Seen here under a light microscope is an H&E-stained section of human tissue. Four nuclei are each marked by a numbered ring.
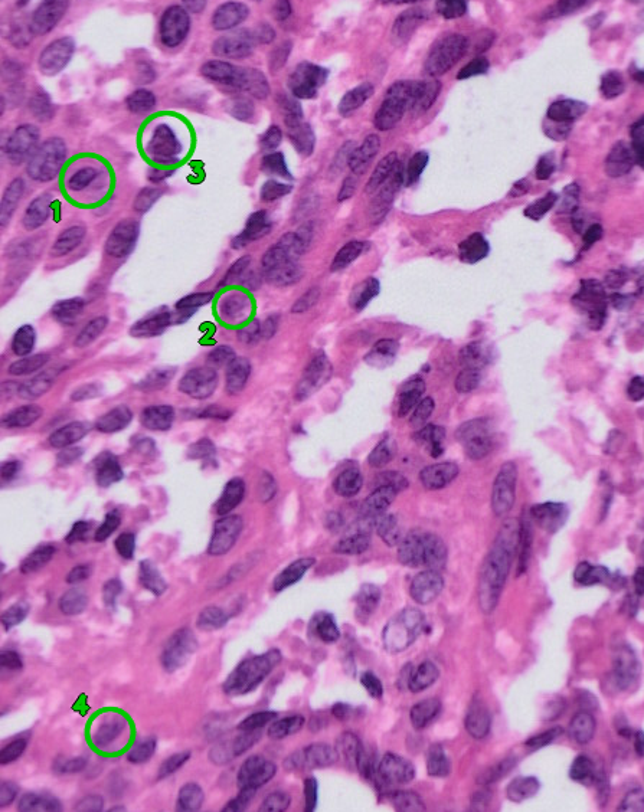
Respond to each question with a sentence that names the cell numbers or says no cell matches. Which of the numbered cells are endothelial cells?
The numbered cell that is an endothelial cell is cell 4, and it is the only one.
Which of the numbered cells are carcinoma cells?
In terms of cell type, cells 2 and 3 are carcinoma cells.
